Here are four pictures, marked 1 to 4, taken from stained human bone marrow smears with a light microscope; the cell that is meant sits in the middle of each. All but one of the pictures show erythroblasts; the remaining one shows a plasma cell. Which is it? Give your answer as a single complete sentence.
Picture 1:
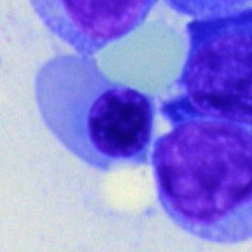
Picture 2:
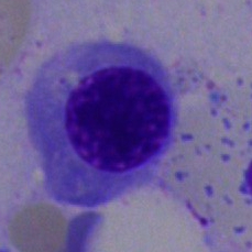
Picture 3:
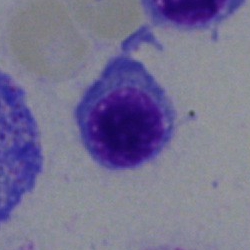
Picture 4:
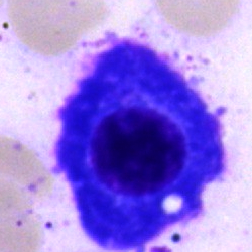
The picture with the plasma cell is 4.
